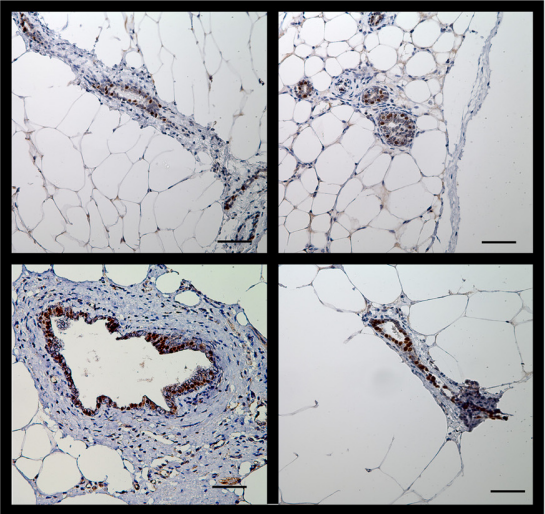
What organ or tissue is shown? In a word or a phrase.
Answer: Mammary gland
